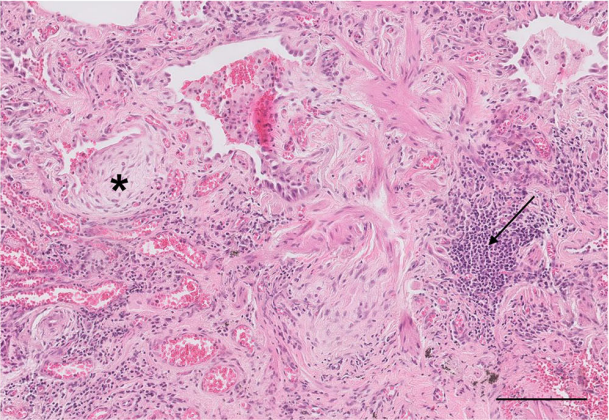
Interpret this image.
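Fibrotic lung tissue in which normal alveoli are replaced by dense pink fibrous tissue. On the left lies a rounded, pale-staining nodule of spindle-shaped cells in a loose matrix, a fibroblast focus. On the right is a dense cluster of small cells with round dark purple nuclei, a lymphocyte aggregate. Many small vessels packed with red blood cells and scattered brown-black pigment lie in between.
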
